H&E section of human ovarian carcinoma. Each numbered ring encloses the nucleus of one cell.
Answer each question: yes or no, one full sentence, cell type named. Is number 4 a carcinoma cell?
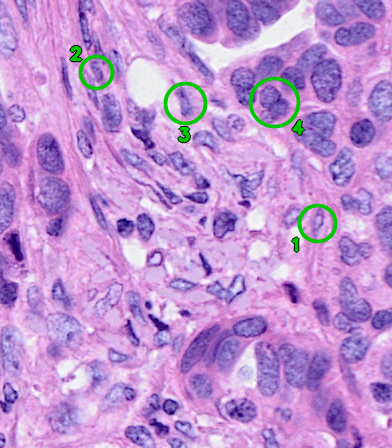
Yes, the cell that bears number 4 is a carcinoma cell.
